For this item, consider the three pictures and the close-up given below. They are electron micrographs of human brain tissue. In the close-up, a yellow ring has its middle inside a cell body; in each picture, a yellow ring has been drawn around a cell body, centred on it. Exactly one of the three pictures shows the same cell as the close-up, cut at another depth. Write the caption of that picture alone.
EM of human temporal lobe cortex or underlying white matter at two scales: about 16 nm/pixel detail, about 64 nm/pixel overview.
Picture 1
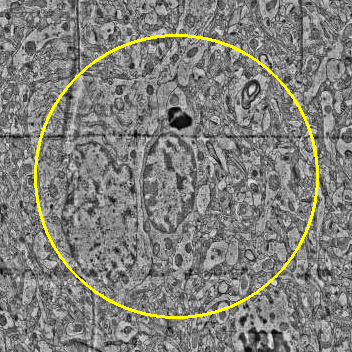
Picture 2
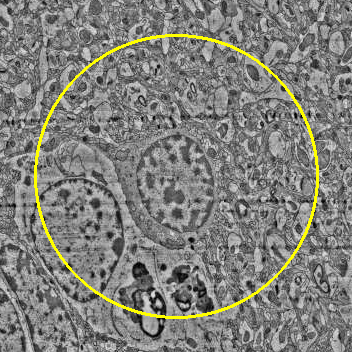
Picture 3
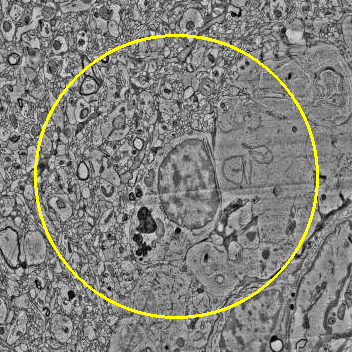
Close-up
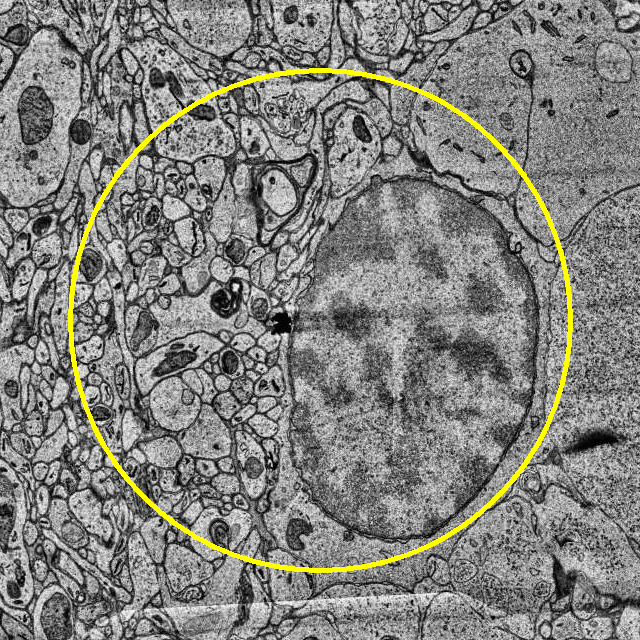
Picture 3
